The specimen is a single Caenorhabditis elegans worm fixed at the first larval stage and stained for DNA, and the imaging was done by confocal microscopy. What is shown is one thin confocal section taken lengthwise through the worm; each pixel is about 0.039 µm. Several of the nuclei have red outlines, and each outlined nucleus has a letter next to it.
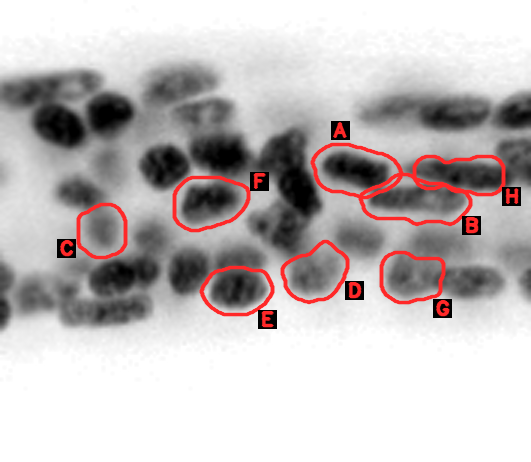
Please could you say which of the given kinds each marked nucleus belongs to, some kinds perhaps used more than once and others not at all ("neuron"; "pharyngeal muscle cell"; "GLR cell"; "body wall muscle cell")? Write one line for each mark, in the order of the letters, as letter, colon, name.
A: pharyngeal muscle cell
B: pharyngeal muscle cell
C: neuron
D: body wall muscle cell
E: neuron
F: pharyngeal muscle cell
G: body wall muscle cell
H: neuron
